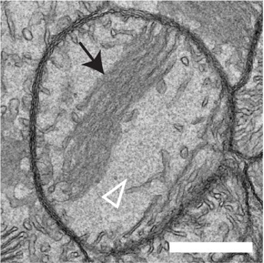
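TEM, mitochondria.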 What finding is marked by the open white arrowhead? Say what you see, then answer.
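The arrowhead marks a pale, finely granular region of the mitochondrion. That region holds almost no membranes.
Hence: sparse areas filled with a granular matrix material and few cristae.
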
